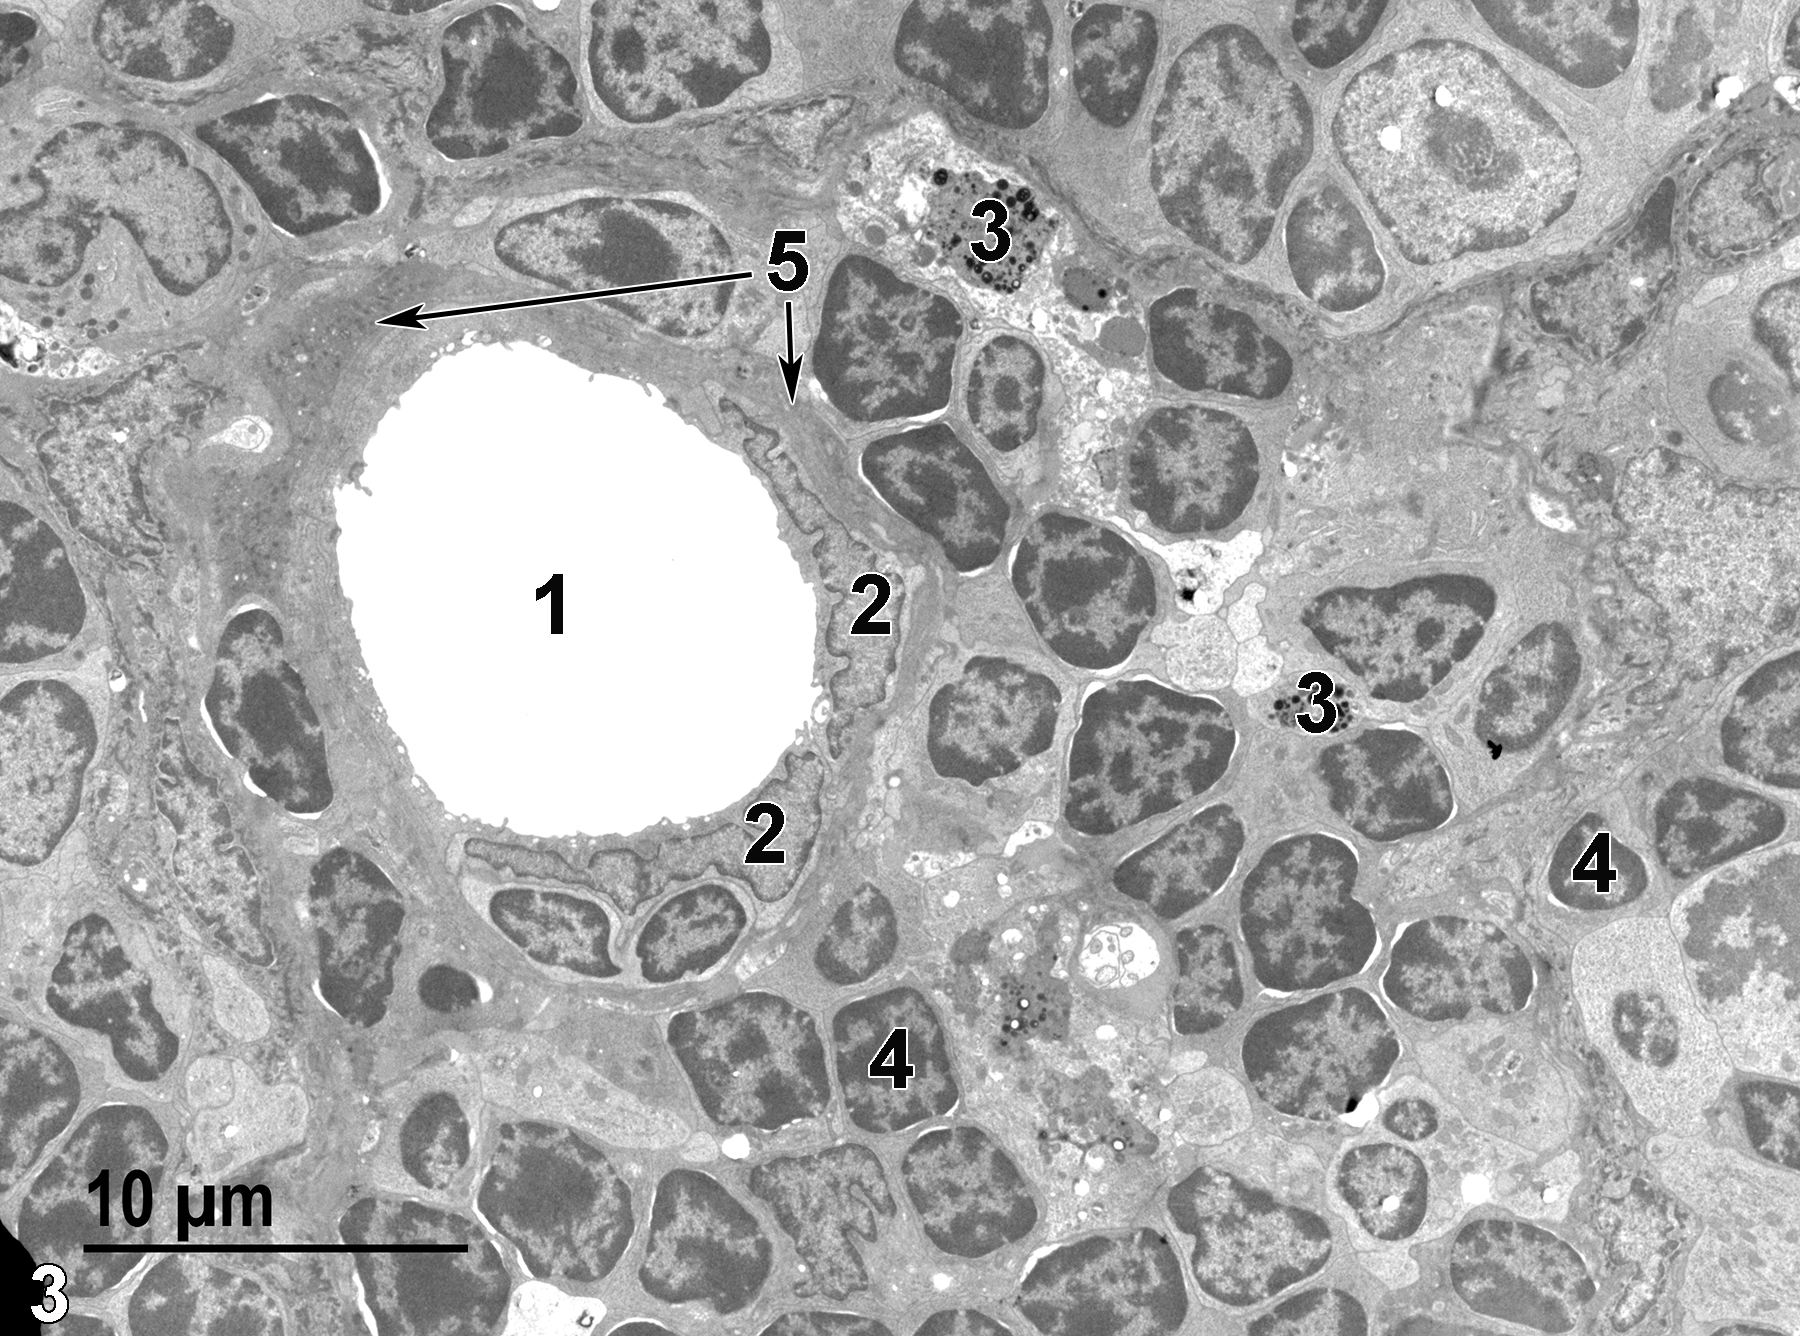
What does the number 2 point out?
2 marks the endothelial cells.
